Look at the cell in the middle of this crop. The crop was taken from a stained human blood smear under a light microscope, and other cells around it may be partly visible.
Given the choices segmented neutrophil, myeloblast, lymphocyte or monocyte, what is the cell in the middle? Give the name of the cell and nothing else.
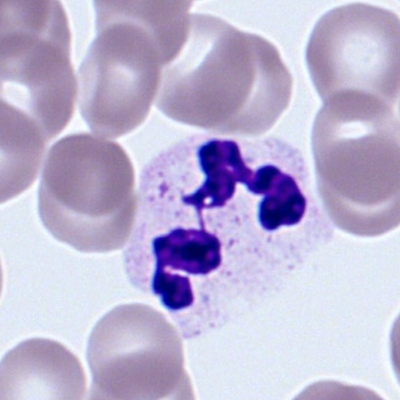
segmented neutrophil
